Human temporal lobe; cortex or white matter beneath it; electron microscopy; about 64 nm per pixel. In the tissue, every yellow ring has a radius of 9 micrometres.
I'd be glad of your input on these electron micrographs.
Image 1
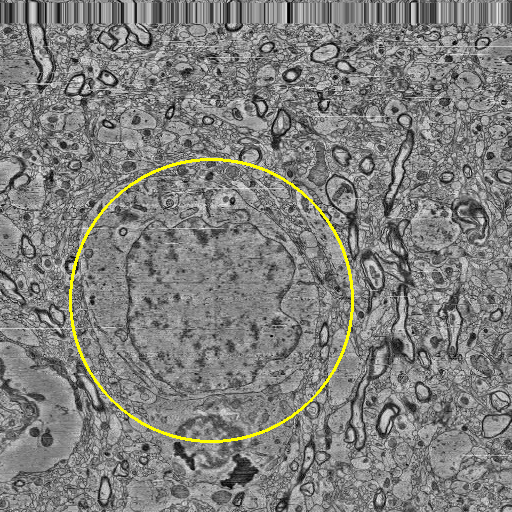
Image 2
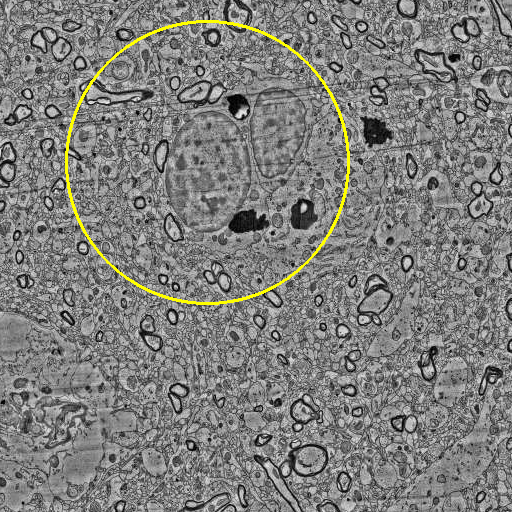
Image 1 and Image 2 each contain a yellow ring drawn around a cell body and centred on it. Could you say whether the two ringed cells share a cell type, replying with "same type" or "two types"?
two types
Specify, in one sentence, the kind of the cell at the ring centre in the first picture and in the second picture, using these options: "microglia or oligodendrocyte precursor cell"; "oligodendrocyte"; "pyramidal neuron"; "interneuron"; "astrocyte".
So the first is an interneuron, the second an oligodendrocyte.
